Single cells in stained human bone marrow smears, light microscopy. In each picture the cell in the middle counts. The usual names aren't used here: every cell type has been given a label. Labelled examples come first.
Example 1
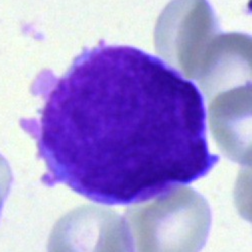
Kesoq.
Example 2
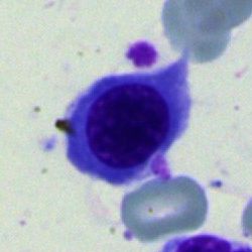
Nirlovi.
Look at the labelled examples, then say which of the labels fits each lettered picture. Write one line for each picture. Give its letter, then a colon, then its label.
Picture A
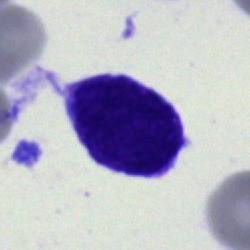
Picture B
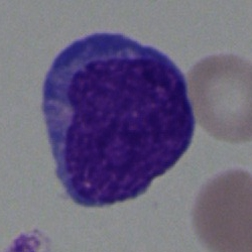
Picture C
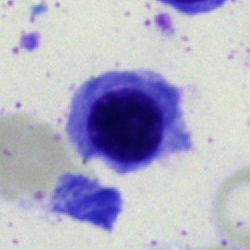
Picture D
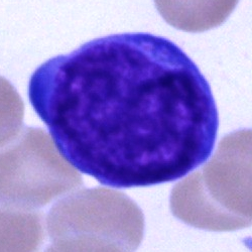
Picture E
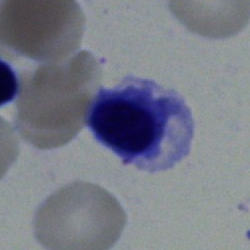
A: Kesoq.
B: Kesoq.
C: Nirlovi.
D: Kesoq.
E: Nirlovi.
